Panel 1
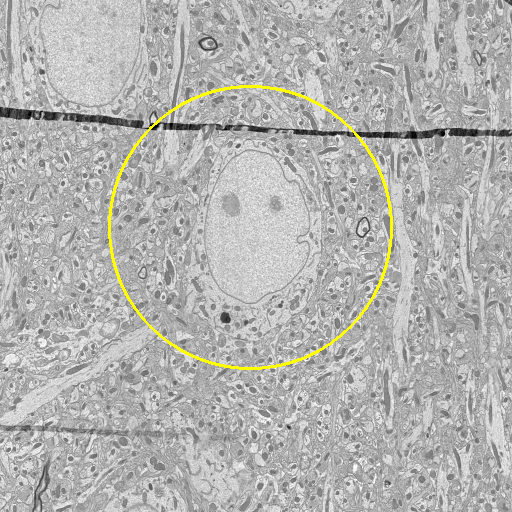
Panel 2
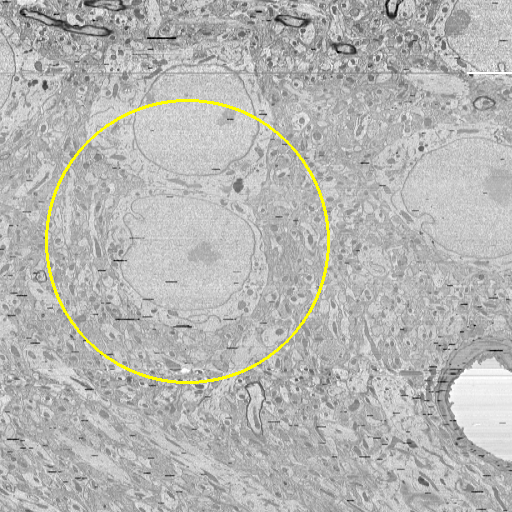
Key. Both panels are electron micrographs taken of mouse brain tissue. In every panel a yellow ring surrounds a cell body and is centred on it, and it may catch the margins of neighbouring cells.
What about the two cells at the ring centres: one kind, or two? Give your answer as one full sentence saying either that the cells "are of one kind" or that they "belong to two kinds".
Across Panels 1 and 2, the two cells at the ring centres are of one kind.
